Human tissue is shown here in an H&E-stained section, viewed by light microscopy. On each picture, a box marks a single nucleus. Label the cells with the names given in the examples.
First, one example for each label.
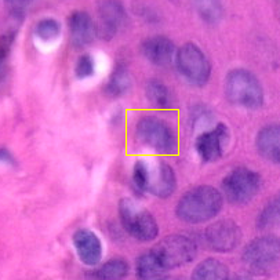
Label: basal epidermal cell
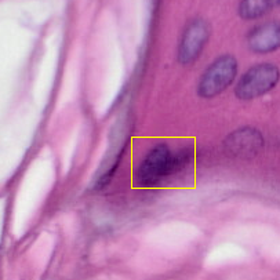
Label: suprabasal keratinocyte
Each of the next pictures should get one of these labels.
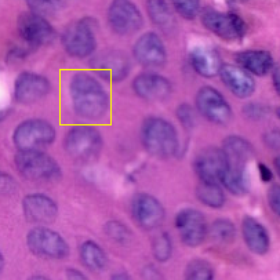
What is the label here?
suprabasal keratinocyte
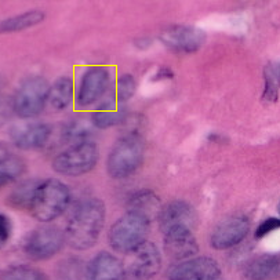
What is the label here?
basal epidermal cell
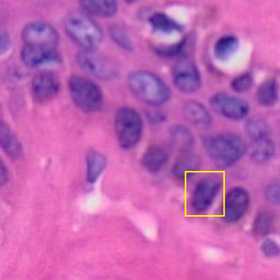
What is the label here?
basal epidermal cell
